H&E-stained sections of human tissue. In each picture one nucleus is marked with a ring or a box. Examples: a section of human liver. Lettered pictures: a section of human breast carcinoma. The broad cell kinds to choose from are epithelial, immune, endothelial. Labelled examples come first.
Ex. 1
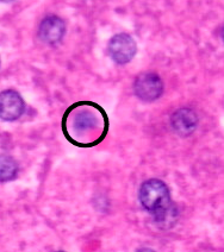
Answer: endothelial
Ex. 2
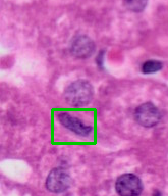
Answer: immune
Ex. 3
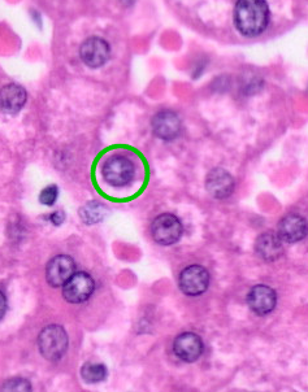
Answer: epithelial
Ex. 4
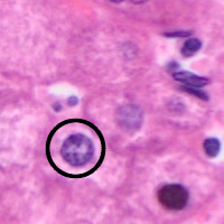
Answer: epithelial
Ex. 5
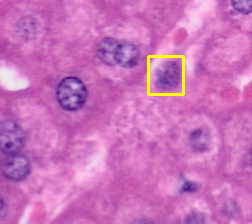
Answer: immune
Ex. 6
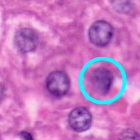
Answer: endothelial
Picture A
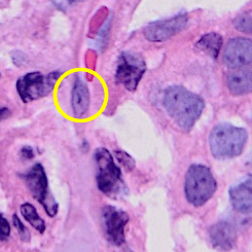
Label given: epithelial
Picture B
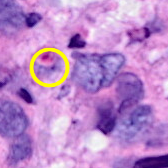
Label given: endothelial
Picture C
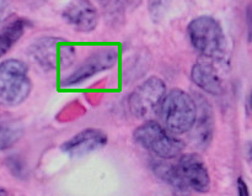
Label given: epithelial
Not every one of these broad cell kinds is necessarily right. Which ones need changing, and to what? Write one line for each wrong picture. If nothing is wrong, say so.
A: change epithelial to endothelial
C: change epithelial to endothelial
